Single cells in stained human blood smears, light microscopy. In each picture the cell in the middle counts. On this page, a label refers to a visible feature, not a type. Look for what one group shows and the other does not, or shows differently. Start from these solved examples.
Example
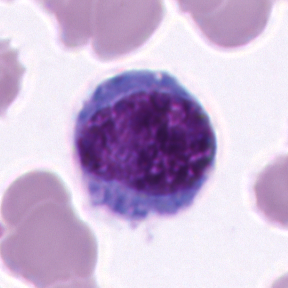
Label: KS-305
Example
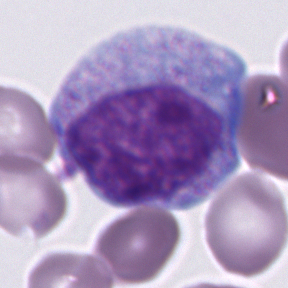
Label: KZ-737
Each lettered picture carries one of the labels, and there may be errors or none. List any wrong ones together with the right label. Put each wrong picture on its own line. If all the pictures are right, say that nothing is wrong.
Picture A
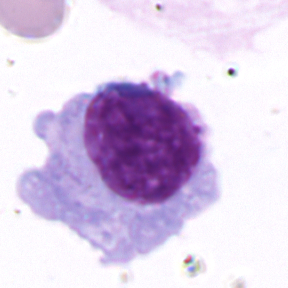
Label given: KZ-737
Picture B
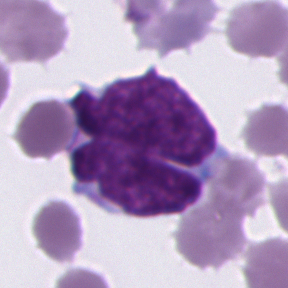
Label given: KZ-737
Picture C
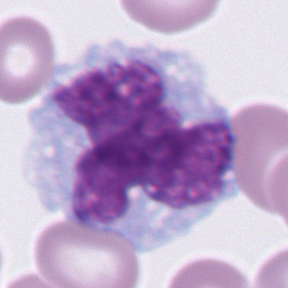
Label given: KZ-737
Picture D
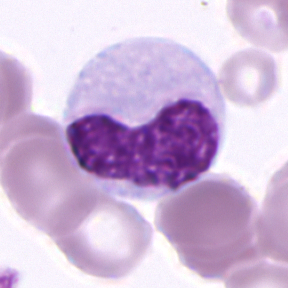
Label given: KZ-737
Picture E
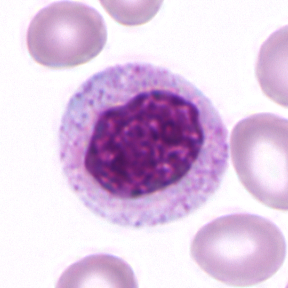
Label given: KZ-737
B should be KS-305, not KZ-737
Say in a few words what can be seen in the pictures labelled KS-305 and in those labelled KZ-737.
In KS-305: scant cytoplasm. In KZ-737: abundant cytoplasm.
